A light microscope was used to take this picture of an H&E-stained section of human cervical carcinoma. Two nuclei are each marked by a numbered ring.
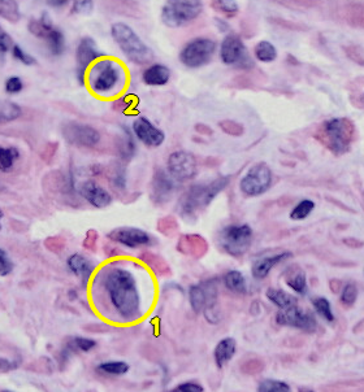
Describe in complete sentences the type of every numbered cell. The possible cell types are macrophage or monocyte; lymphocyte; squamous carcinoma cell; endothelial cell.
Cell 1 is an endothelial cell and cell 2 is a lymphocyte.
